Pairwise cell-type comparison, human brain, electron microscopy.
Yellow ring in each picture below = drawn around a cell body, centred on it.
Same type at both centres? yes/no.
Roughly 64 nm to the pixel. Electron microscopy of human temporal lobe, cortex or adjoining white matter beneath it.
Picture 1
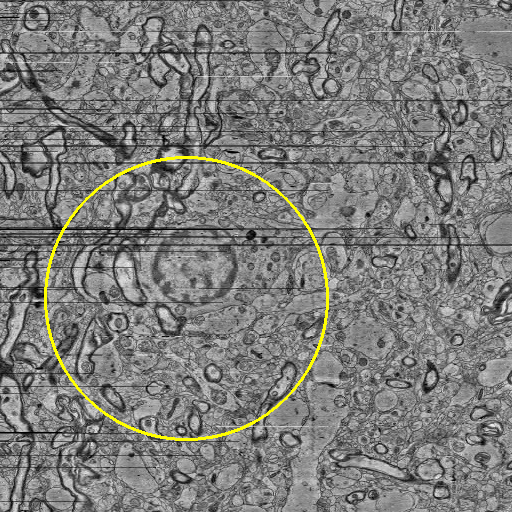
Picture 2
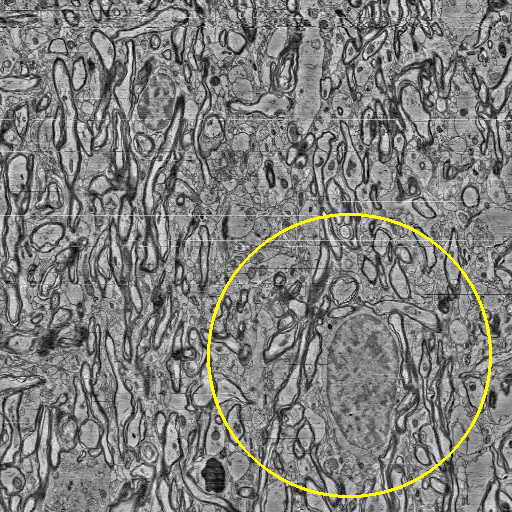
yes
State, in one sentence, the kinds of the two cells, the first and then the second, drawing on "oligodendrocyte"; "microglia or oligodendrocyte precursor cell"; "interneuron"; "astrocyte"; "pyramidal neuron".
In both pictures the ring is centred on an oligodendrocyte.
